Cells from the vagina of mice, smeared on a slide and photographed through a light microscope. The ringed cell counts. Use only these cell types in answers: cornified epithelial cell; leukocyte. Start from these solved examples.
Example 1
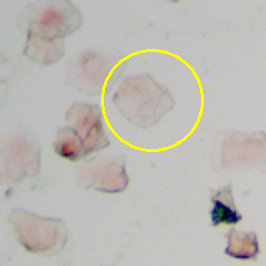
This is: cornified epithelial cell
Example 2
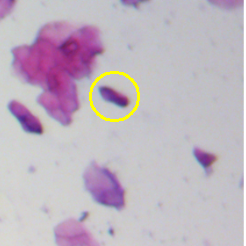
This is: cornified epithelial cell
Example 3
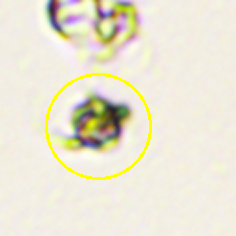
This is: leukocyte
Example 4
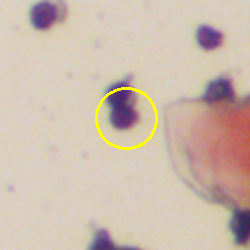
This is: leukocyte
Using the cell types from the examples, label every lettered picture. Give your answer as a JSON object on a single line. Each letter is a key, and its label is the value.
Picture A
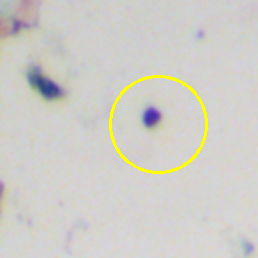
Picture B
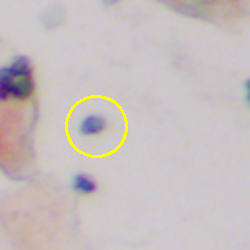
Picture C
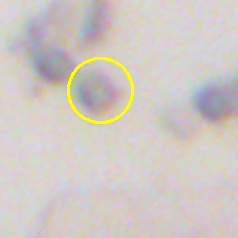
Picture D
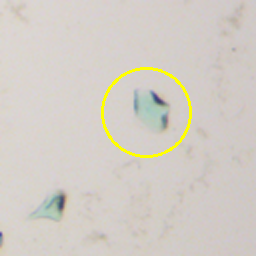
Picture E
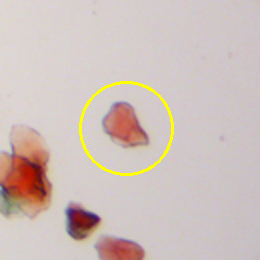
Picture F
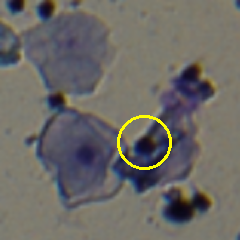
{"A": "leukocyte", "B": "leukocyte", "C": "leukocyte", "D": "cornified epithelial cell", "E": "cornified epithelial cell", "F": "leukocyte"}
